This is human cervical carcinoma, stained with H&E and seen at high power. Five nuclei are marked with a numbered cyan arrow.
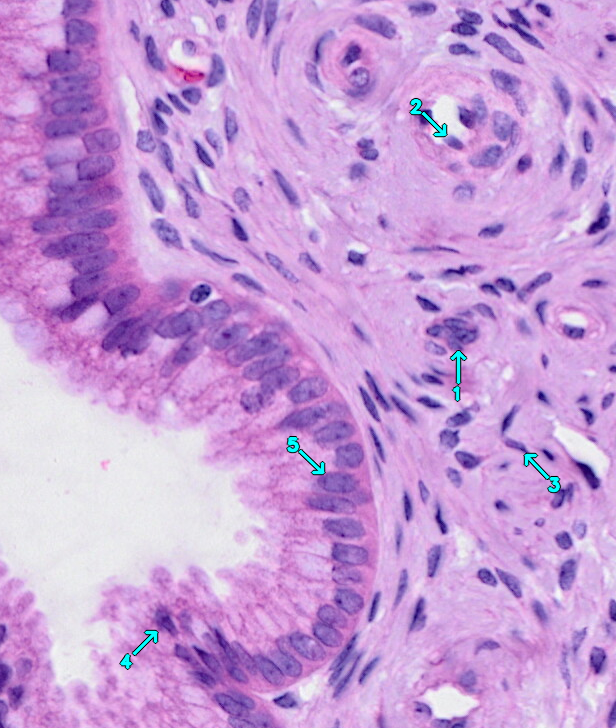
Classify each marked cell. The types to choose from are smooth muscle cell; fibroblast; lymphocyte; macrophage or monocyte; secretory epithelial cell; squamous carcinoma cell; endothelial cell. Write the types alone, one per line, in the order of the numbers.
endothelial cell
endothelial cell
fibroblast
secretory epithelial cell
secretory epithelial cell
